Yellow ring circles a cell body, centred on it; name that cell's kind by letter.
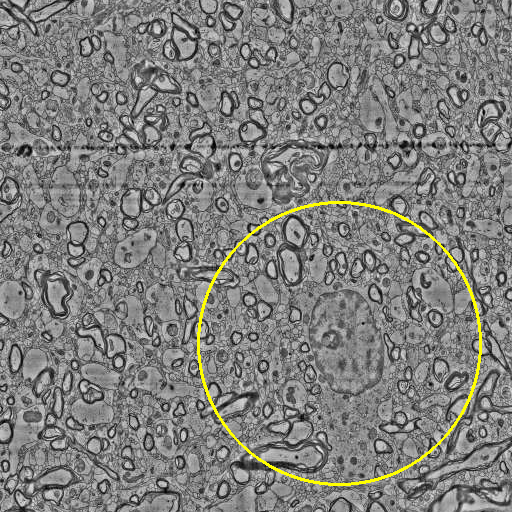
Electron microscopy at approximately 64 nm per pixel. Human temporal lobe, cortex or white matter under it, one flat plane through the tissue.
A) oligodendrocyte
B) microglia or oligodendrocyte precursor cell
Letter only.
A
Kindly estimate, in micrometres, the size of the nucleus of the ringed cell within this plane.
Approximately 7 by 5 micrometers in this plane.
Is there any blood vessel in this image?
No, there is none.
